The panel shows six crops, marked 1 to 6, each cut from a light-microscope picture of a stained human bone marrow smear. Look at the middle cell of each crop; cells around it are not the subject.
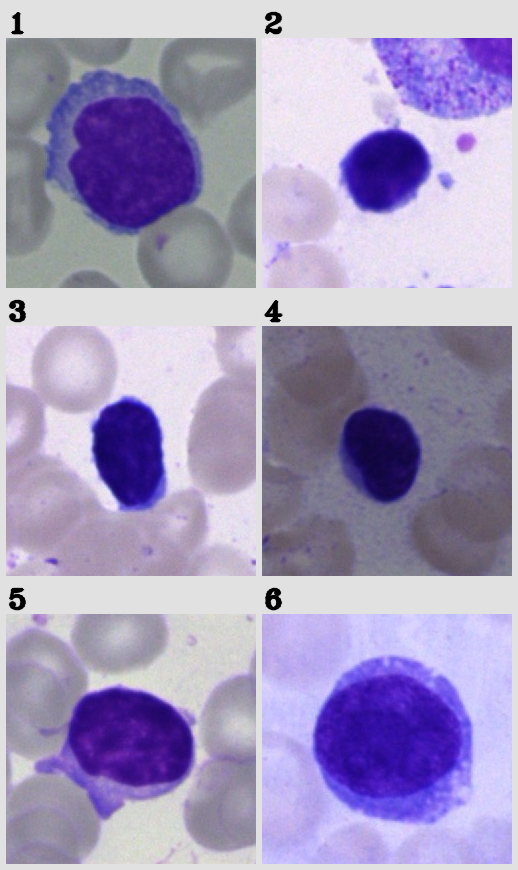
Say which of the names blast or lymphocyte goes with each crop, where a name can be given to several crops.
1: blast
2: lymphocyte
3: lymphocyte
4: lymphocyte
5: lymphocyte
6: blast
